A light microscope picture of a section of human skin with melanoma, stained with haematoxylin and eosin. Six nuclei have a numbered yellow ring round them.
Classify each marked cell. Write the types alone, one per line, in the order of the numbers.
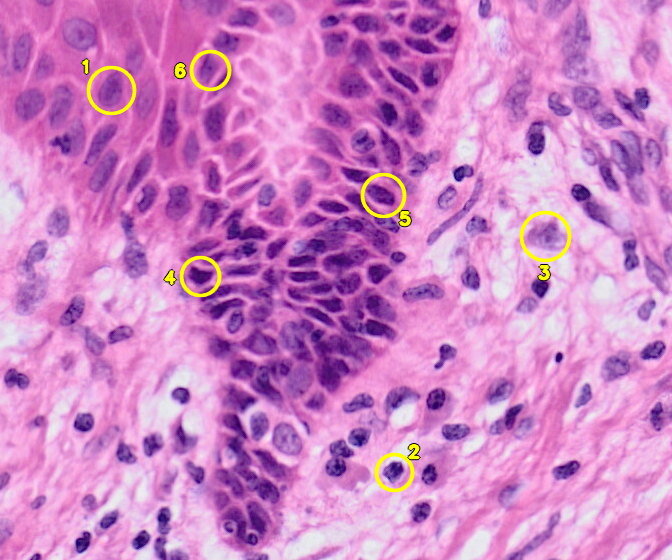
keratinocyte
lymphocyte
fibroblast or myofibroblast
keratinocyte
keratinocyte
keratinocyte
